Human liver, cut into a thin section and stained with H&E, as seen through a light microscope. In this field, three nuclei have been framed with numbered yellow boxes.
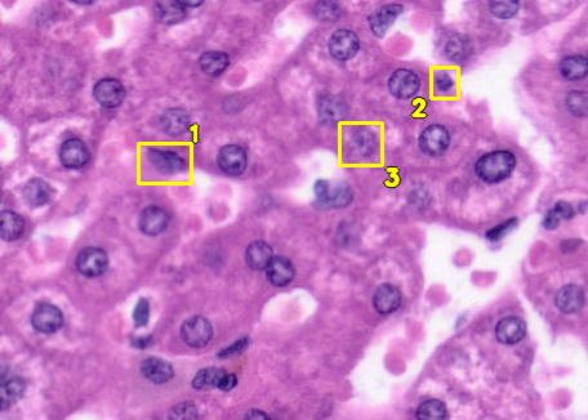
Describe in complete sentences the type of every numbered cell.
Cells 1 and 2 are fibroblasts or stellate cells. Cell 3 is a hepatocyte.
